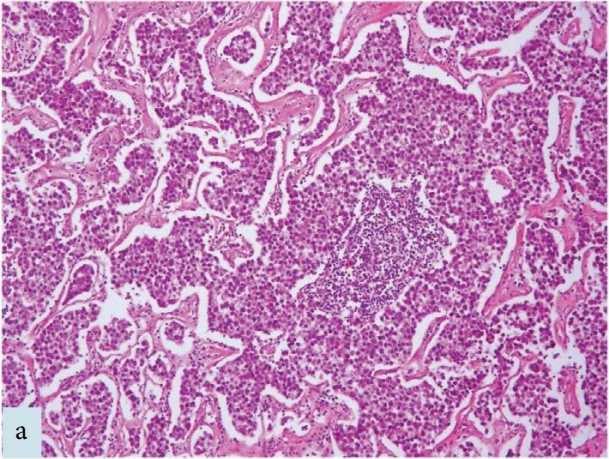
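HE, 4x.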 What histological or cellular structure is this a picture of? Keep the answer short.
Dyscohesive nests and sheets of tumor cells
